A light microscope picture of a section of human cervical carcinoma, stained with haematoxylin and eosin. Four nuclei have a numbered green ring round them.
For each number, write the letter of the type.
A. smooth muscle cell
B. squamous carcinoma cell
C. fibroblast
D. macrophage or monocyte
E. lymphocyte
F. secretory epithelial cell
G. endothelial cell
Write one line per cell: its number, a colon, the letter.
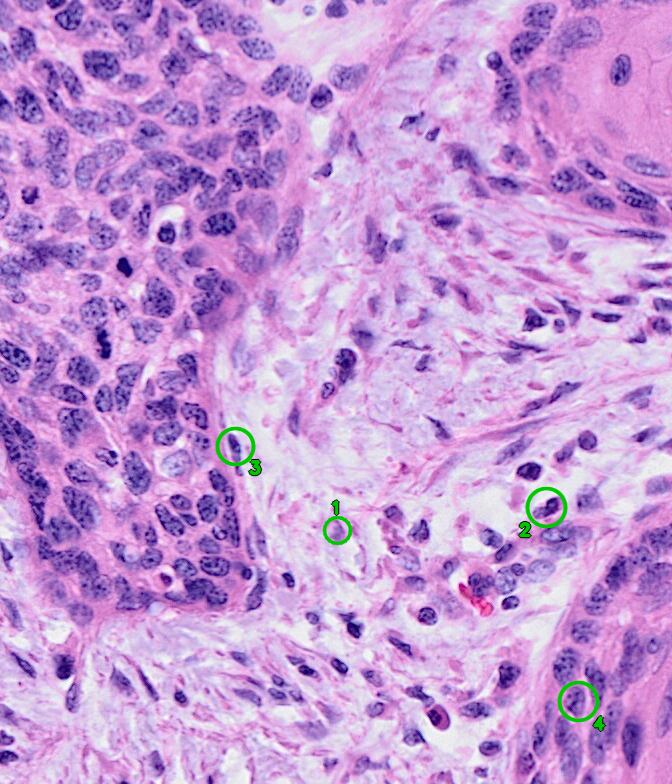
1: C
2: E
3: E
4: B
